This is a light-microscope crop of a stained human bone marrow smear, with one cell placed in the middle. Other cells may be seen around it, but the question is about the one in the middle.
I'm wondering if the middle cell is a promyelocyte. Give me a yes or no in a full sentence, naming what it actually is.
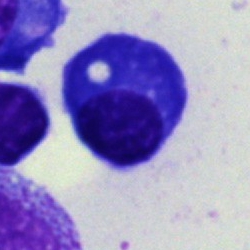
No, a promyelocyte is not what the central cell is; it is a plasma cell.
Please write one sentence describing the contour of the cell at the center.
The membrane contour is even and smooth, with nothing projecting from it.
